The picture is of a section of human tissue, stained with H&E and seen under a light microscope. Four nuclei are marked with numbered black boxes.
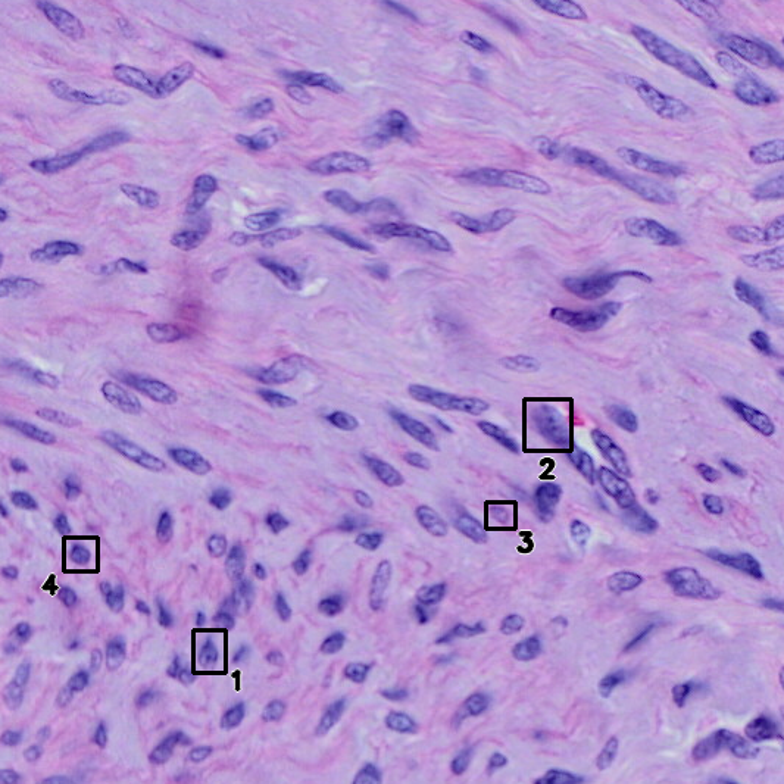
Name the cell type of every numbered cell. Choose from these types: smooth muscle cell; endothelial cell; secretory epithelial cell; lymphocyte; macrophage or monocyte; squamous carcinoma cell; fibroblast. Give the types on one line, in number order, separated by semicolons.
smooth muscle cell; endothelial cell; smooth muscle cell; smooth muscle cell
